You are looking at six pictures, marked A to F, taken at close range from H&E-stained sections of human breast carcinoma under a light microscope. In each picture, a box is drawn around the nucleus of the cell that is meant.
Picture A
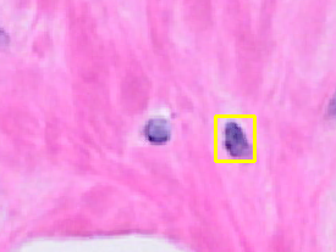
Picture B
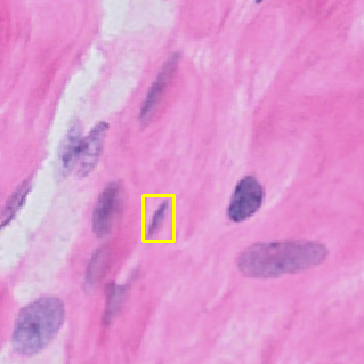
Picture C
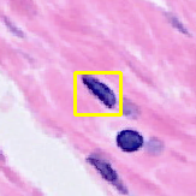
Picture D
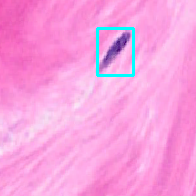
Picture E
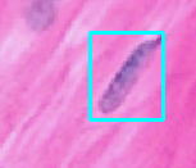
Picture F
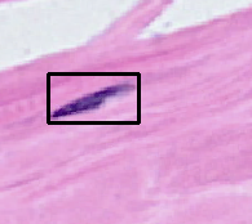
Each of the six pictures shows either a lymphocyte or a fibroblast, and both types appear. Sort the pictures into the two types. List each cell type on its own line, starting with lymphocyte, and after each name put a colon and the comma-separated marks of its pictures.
lymphocyte: A, C
fibroblast: B, D, E, F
